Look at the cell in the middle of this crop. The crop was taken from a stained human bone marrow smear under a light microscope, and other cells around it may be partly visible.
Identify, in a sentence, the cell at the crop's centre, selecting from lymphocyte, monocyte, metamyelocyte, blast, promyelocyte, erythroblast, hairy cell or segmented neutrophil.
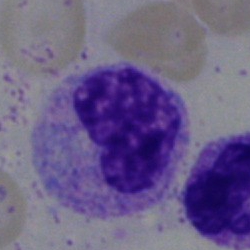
The cell shown in the center of this light-microscope crop is a metamyelocyte.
